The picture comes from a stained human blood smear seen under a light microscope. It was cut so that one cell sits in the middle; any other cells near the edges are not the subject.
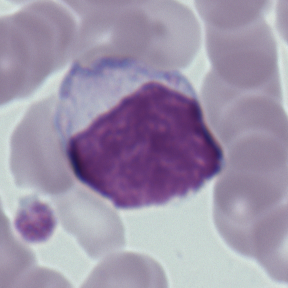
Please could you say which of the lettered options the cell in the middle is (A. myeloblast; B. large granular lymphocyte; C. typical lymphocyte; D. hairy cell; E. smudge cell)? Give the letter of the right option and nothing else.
B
